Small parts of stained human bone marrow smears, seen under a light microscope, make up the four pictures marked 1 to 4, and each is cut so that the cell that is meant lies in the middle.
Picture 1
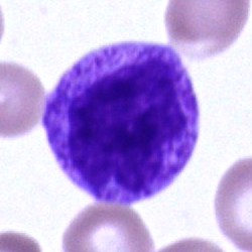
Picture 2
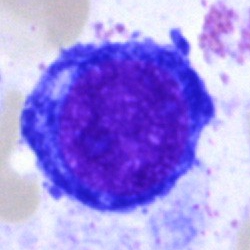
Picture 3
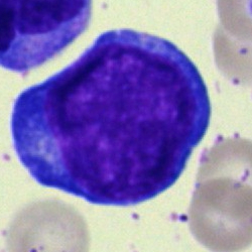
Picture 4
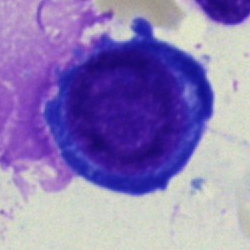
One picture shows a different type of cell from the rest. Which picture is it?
1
